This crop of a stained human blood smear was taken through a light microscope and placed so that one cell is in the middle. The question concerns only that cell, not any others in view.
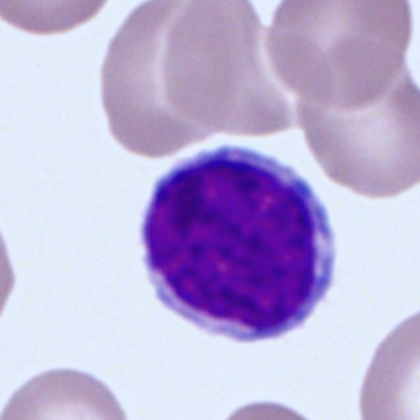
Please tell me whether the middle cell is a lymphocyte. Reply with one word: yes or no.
yes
